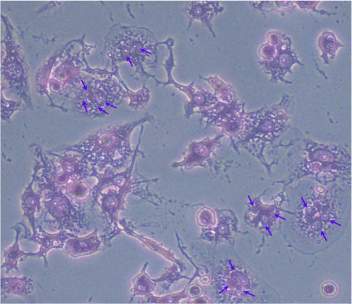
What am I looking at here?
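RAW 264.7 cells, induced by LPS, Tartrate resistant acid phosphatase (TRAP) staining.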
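This enlarged view of a cultured cell layer shows several osteoclasts, recognisable as large, flattened cells that each hold more than one nucleus. Their cytoplasm is stained purple and has a granular, somewhat vacuolated look, with the rounded nuclei grouped together inside the cell body. The cell outlines are irregular and spread out, with thin extensions reaching across the pale background towards neighbouring cells. Smaller, rounder cells with a single nucleus lie between them and are clearly much smaller than the multinucleated cells.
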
